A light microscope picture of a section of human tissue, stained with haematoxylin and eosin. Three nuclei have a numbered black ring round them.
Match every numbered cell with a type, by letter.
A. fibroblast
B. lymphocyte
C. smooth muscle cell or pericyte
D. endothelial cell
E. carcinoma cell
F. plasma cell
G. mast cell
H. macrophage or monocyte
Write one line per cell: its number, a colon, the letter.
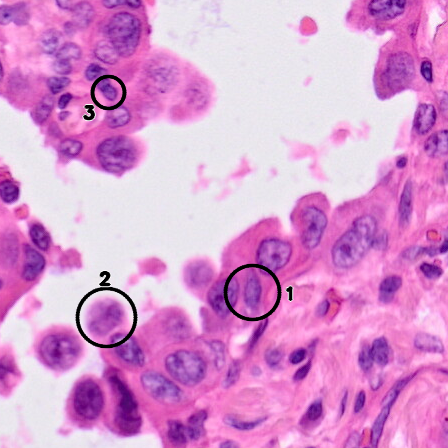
1: E
2: E
3: B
